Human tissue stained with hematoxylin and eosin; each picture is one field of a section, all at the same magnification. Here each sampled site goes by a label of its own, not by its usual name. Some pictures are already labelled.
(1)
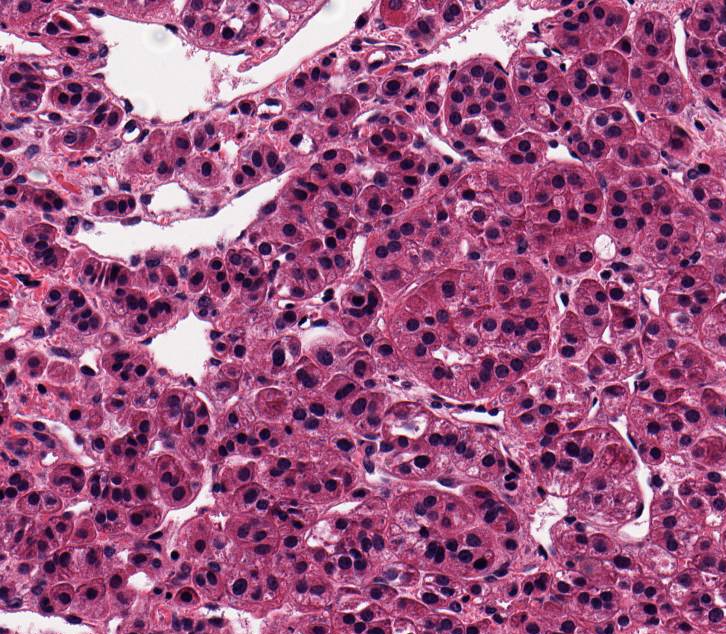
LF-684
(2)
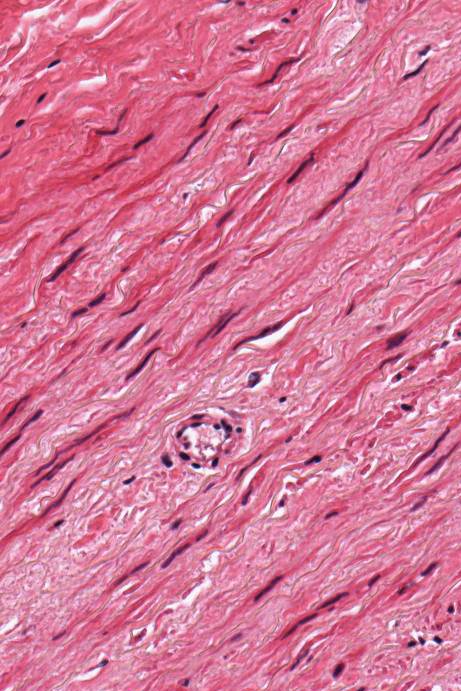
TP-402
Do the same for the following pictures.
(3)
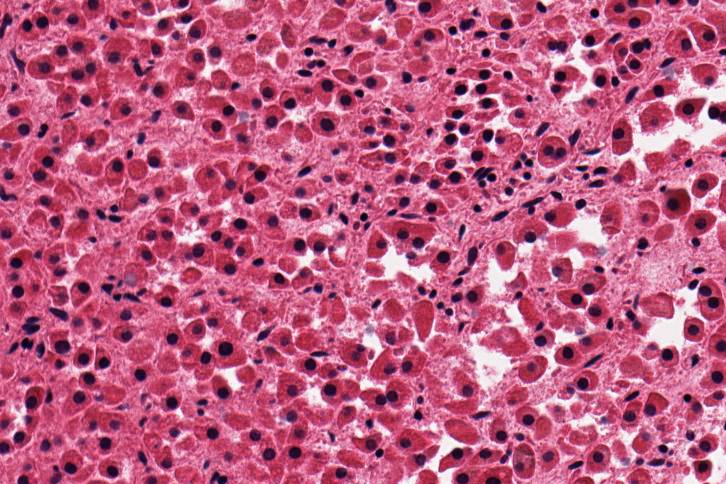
LF-684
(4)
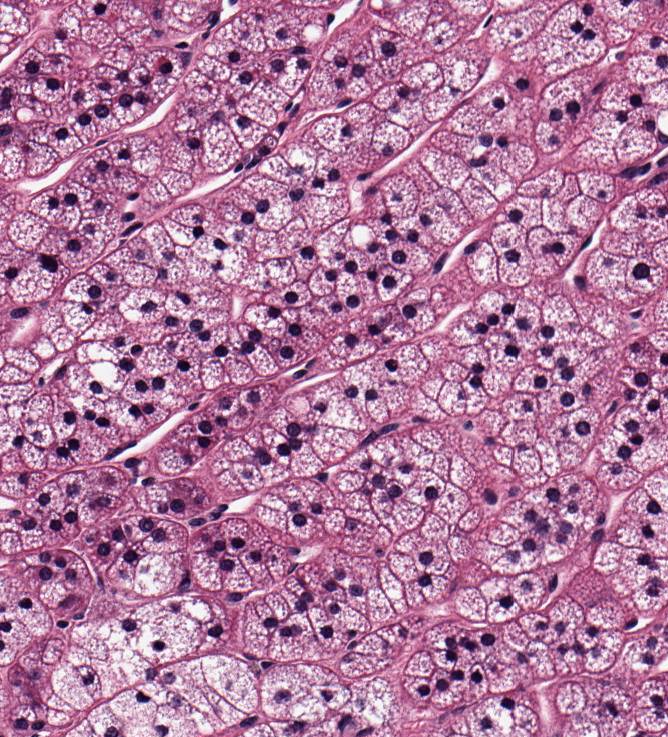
LF-684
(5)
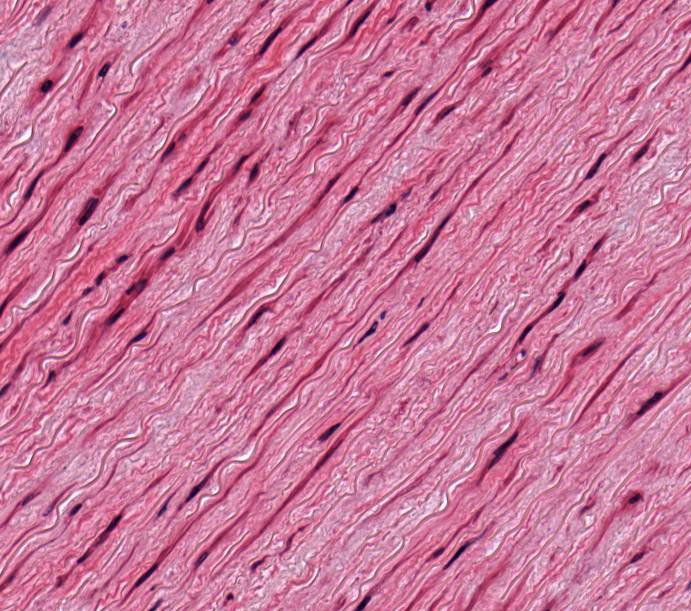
TP-402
